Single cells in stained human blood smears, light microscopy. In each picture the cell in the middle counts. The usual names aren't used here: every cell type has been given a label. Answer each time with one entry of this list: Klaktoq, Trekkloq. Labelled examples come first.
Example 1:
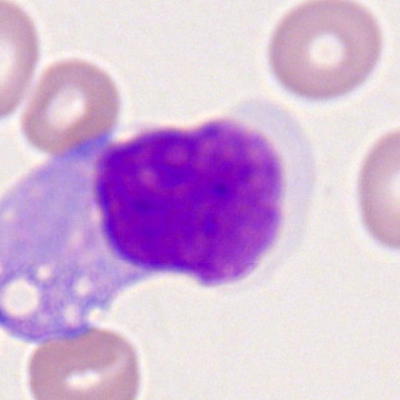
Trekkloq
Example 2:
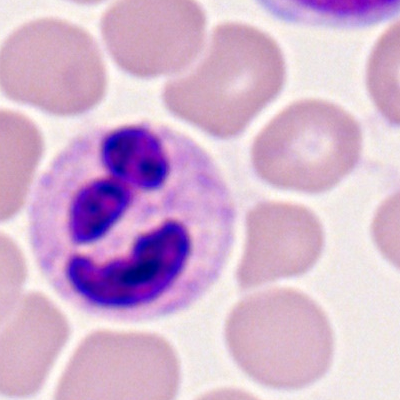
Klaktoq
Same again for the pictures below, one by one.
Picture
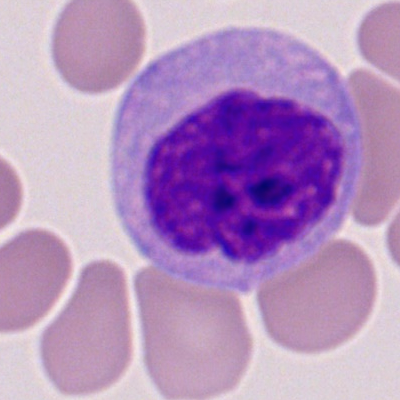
Trekkloq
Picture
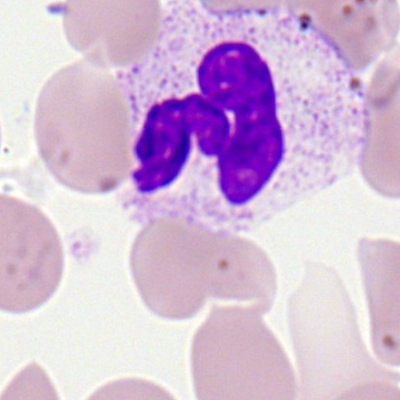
Klaktoq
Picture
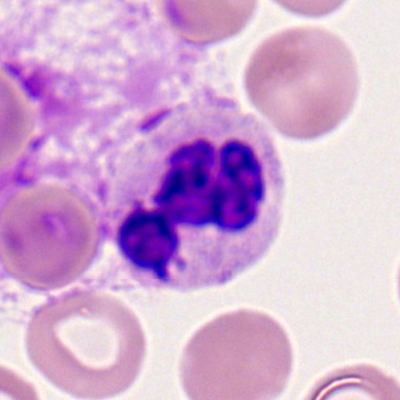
Klaktoq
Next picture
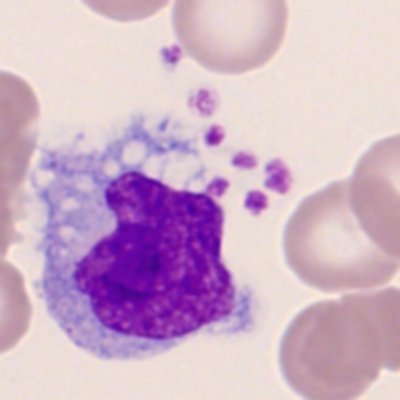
Trekkloq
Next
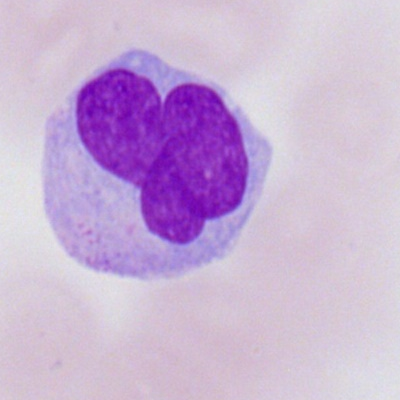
Trekkloq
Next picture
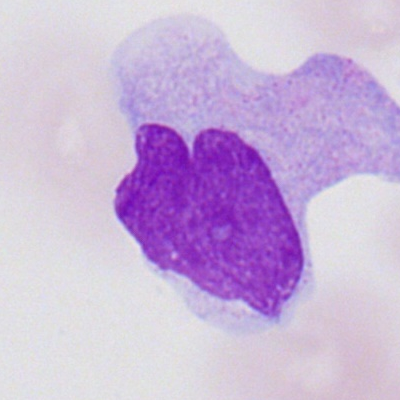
Trekkloq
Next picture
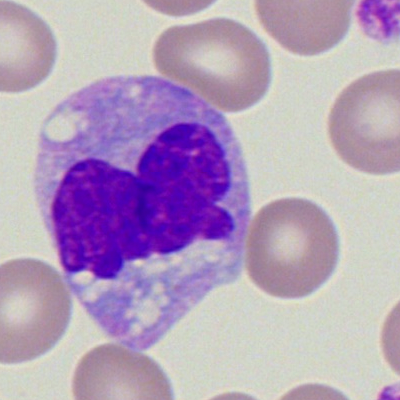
Trekkloq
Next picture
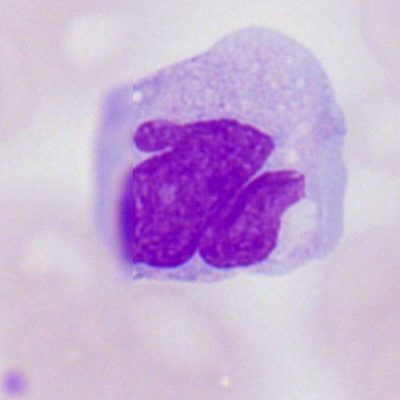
Trekkloq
